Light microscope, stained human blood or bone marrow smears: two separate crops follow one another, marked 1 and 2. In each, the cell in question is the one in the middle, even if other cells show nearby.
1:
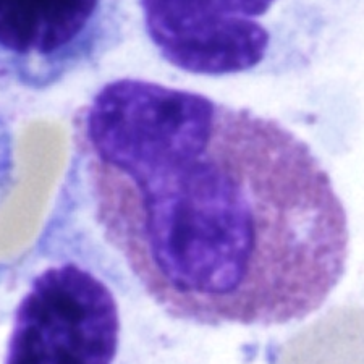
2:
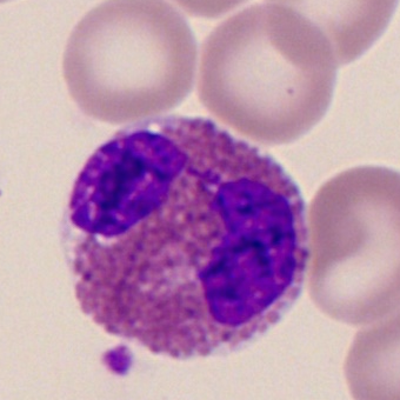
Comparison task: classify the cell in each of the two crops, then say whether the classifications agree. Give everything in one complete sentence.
Yes, both crops in this set show eosinophils.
